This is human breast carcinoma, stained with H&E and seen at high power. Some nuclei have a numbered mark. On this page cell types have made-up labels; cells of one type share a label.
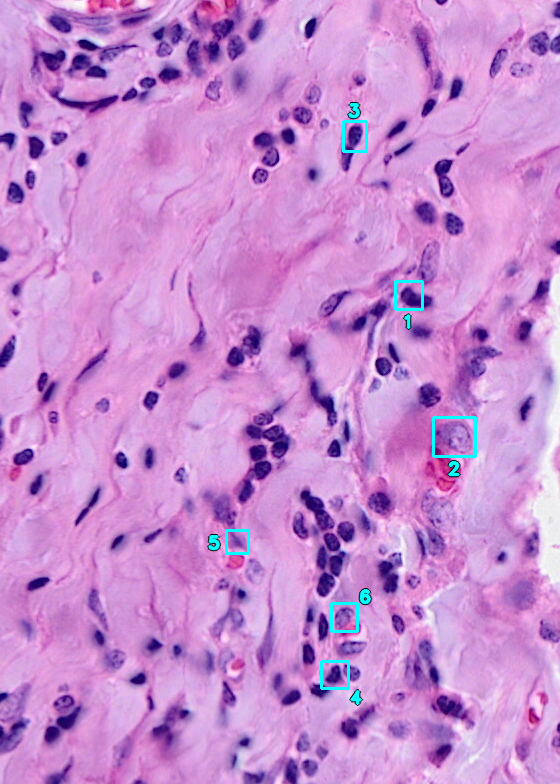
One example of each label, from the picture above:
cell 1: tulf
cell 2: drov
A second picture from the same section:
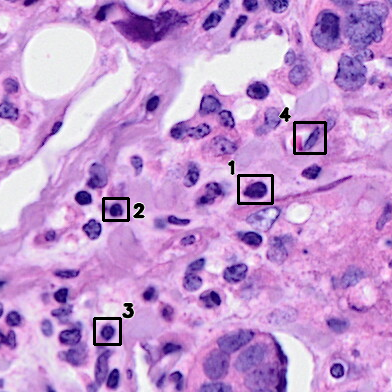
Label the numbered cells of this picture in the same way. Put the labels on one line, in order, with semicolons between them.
tulf; tulf; tulf; drov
